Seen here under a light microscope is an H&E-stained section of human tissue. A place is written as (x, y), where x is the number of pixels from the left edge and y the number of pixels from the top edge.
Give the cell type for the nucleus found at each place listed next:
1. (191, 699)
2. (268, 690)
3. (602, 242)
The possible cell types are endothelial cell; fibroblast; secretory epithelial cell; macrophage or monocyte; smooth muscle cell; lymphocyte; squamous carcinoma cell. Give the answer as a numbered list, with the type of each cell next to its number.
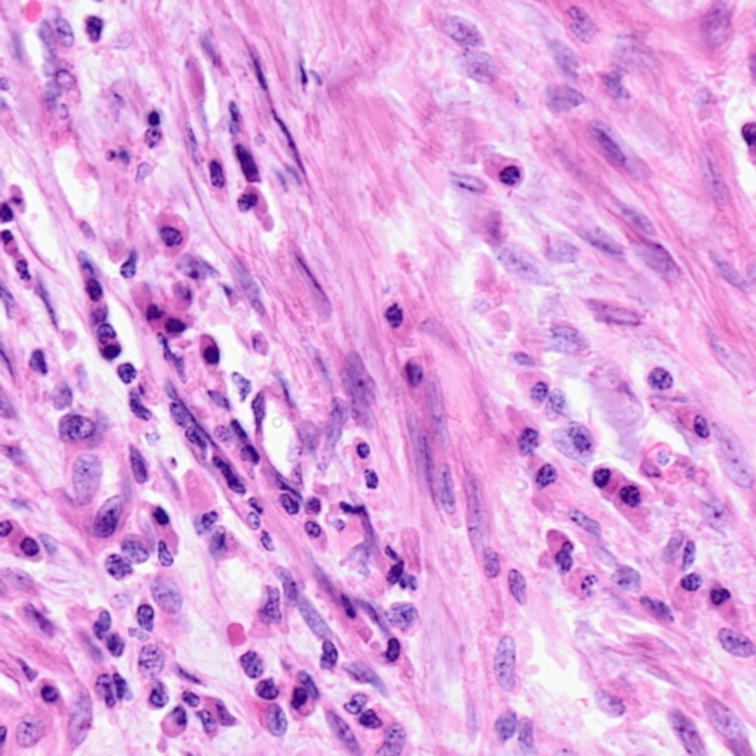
1. lymphocyte
2. lymphocyte
3. fibroblast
